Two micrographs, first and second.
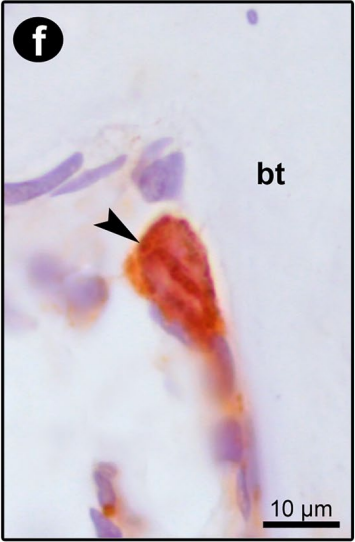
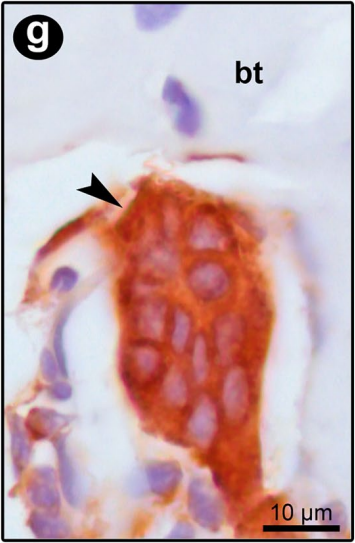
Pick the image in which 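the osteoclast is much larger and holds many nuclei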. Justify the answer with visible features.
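Second image: a huge stained cell filled with many nuclei. First image: a smaller elongated stained cell with few visible nuclei. On this evidence: the second image.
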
